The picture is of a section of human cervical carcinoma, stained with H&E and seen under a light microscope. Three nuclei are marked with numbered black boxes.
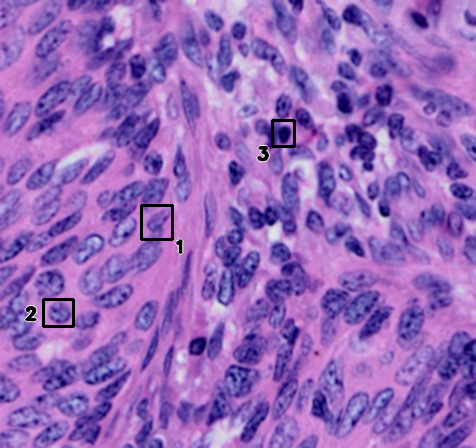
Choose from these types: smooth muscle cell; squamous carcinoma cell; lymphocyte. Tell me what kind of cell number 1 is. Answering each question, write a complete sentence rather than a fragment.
The mark numbered 1 indicates the nucleus of a squamous carcinoma cell.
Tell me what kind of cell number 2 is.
In this section, number 2 marks a squamous carcinoma cell.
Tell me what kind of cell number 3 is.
At number 3, the marked cell is a lymphocyte.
